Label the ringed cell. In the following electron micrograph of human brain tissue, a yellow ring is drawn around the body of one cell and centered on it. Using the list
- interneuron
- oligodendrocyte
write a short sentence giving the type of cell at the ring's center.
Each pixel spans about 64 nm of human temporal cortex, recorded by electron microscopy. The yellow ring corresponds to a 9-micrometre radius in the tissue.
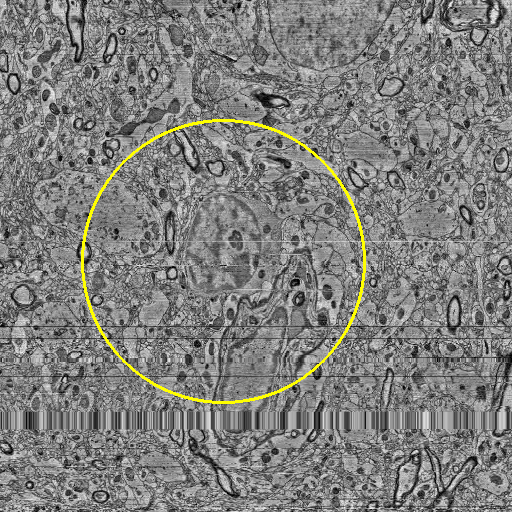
The cell body at the ring's center is that of an oligodendrocyte.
